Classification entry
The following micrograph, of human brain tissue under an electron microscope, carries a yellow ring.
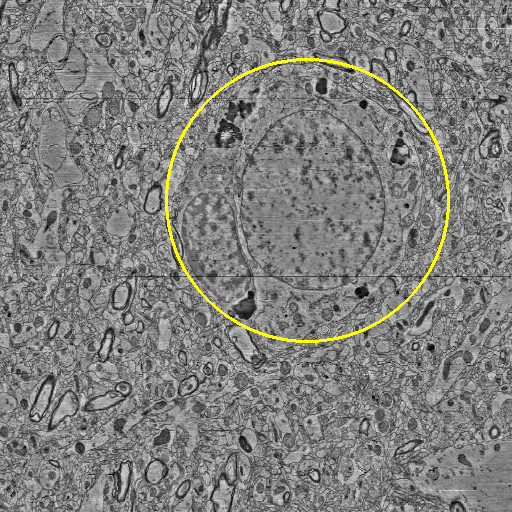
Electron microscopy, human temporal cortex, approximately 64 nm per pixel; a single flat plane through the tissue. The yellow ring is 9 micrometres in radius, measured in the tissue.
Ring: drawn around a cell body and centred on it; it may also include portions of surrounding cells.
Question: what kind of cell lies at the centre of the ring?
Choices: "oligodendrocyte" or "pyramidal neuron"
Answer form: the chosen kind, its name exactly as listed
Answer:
pyramidal neuron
